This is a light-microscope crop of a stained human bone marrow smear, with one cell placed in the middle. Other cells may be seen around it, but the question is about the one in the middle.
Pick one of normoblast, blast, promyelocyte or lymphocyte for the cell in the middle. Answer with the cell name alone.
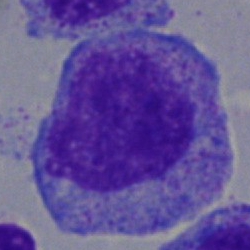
promyelocyte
